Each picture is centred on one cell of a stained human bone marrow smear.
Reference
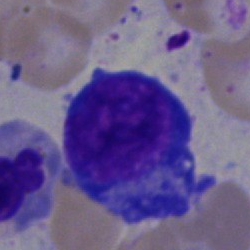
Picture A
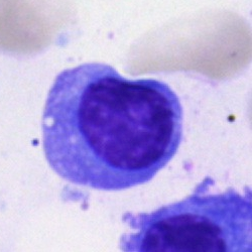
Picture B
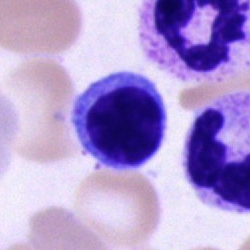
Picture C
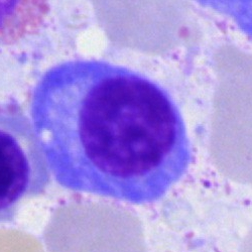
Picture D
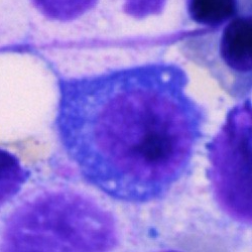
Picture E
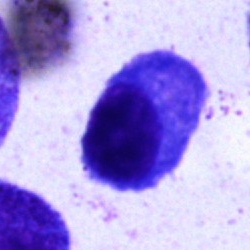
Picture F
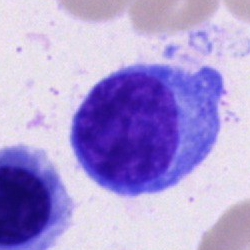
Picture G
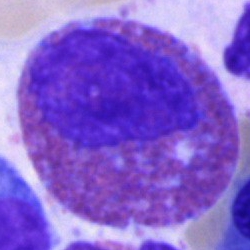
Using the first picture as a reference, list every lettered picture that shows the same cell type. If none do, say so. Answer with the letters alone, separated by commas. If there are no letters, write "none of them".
A, C, D, E, F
